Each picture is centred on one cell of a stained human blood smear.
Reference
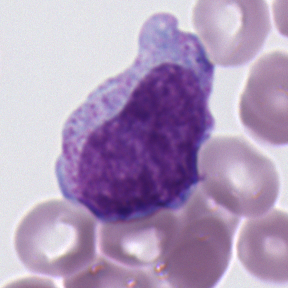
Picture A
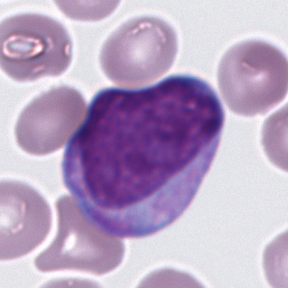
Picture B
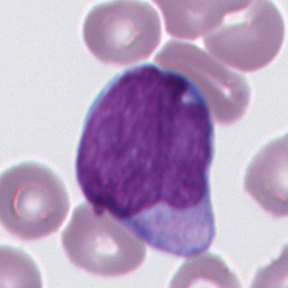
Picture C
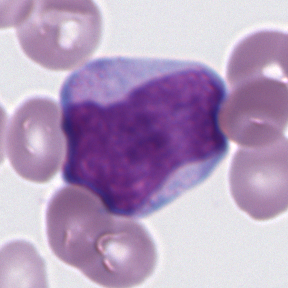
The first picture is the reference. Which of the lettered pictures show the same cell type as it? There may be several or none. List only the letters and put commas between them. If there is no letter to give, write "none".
A, B, C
